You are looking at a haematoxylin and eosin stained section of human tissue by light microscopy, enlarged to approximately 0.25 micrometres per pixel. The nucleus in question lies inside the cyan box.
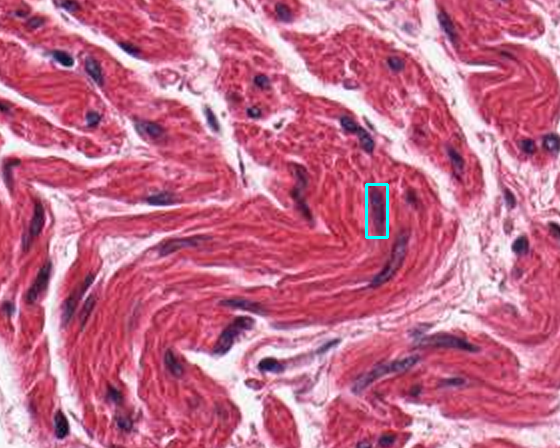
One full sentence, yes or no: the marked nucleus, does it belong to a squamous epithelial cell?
No, the nucleus that is marked is not part of a squamous epithelial cell.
